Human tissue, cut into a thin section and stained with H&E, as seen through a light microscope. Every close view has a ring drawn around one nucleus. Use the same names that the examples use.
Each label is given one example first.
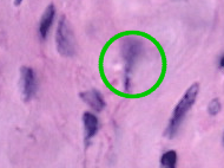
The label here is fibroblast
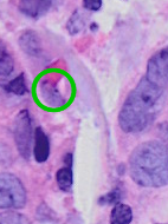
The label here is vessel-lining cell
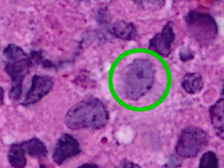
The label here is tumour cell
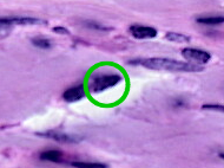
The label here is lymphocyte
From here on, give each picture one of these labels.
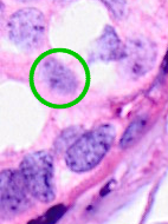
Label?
tumour cell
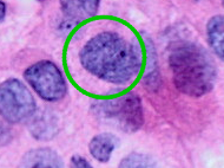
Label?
tumour cell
